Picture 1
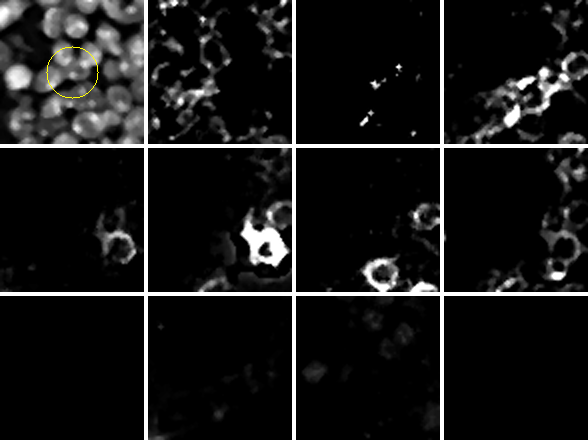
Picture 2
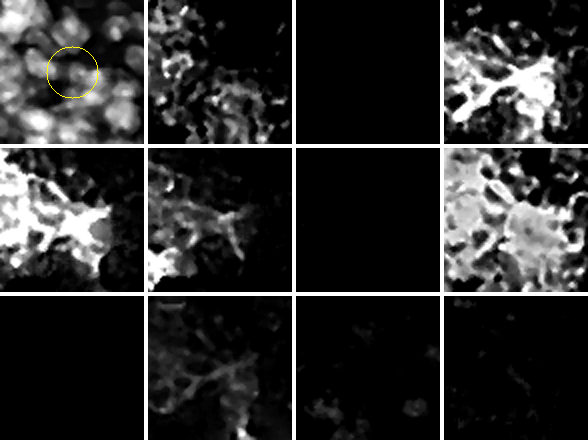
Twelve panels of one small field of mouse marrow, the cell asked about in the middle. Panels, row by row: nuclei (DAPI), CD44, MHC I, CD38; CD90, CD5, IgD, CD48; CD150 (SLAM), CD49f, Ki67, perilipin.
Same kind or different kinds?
Same: capillary endothelial cells.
